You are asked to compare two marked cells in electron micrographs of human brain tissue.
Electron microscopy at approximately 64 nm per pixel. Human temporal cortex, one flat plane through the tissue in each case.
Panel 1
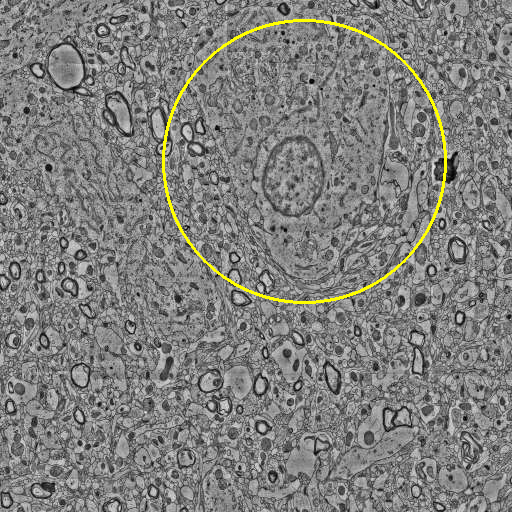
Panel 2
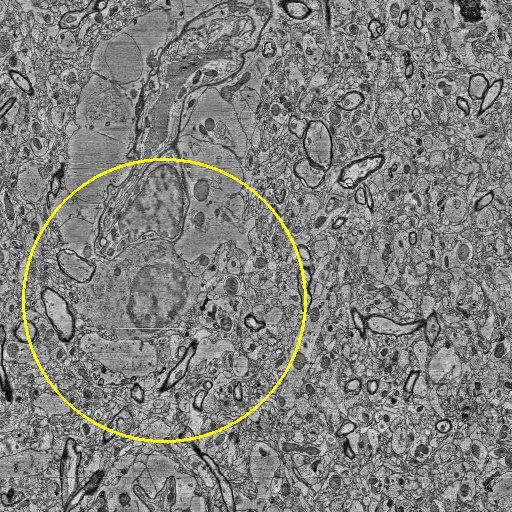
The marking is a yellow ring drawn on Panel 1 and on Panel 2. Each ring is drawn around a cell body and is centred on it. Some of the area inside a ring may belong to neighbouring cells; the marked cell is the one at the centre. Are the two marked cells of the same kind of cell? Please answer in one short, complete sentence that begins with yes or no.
No, the two marked cells are of two kinds.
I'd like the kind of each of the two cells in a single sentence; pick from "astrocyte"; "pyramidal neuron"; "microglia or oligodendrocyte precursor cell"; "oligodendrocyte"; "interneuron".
The first ring marks a pyramidal neuron, and the second ring marks an oligodendrocyte.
